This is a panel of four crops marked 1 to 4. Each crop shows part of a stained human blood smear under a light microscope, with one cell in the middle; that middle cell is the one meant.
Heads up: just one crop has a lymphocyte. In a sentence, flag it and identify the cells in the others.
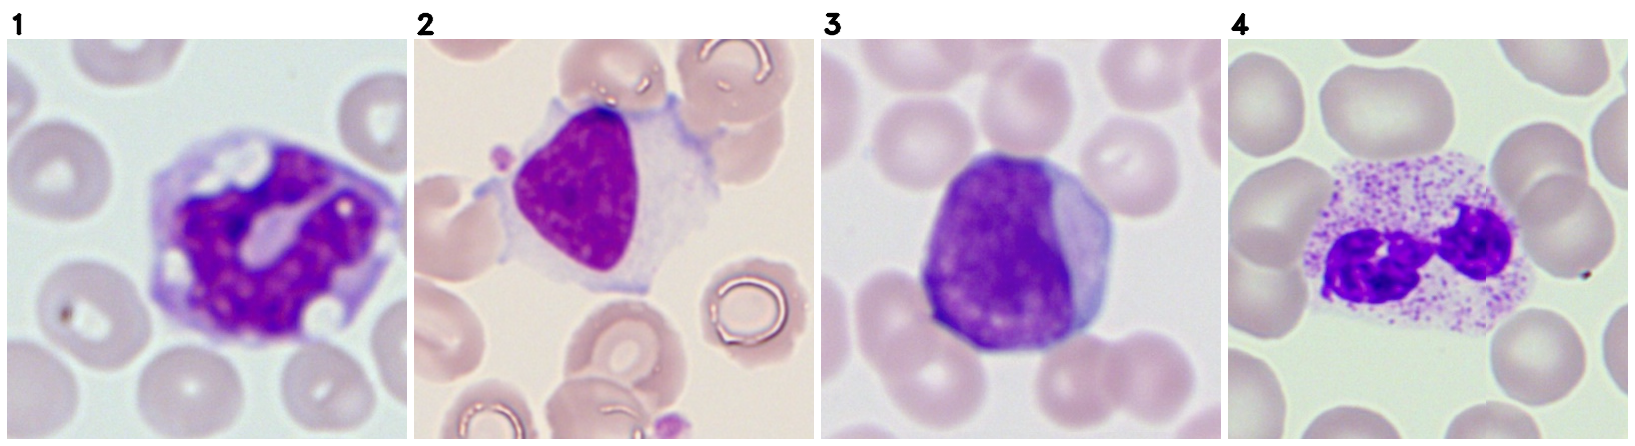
In the crop designated 2, the cell is a lymphocyte, while crop 1 is a monocyte, crop 3 is a myeloblast and crop 4 is a segmented neutrophil.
